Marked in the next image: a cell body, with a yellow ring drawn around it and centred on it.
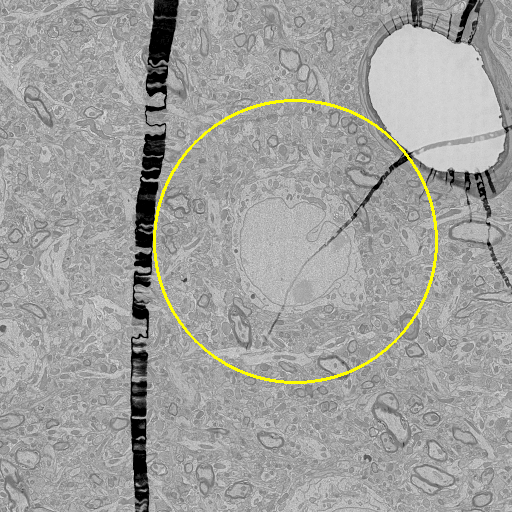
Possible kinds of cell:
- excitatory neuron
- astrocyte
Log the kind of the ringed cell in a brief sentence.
The ringed cell body is that of an excitatory neuron.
